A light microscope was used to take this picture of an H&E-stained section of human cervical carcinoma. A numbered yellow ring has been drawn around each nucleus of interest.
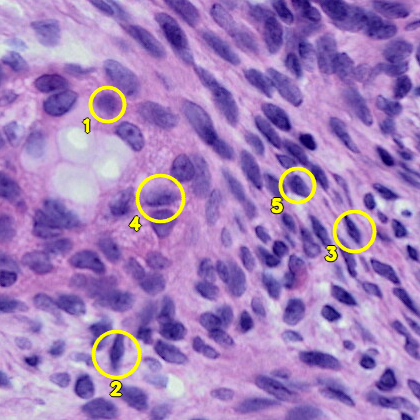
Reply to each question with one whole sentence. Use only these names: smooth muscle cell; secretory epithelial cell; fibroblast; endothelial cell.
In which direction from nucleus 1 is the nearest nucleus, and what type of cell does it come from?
The nearest one is a fibroblast, found above and to the right of nucleus 1.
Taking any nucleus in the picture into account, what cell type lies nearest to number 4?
It is a secretory epithelial cell whose nucleus is nearest to number 4.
